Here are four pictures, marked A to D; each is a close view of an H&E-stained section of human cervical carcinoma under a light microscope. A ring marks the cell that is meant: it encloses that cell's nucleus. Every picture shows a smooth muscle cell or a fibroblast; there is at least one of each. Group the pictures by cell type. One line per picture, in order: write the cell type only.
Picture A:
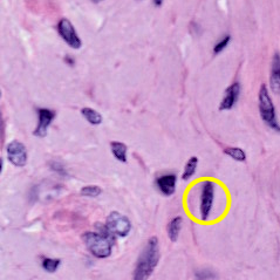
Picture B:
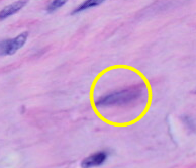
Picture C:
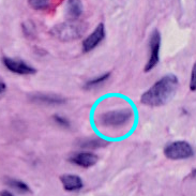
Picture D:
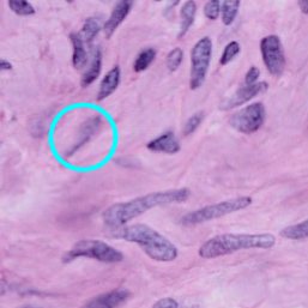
fibroblast
smooth muscle cell
fibroblast
fibroblast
